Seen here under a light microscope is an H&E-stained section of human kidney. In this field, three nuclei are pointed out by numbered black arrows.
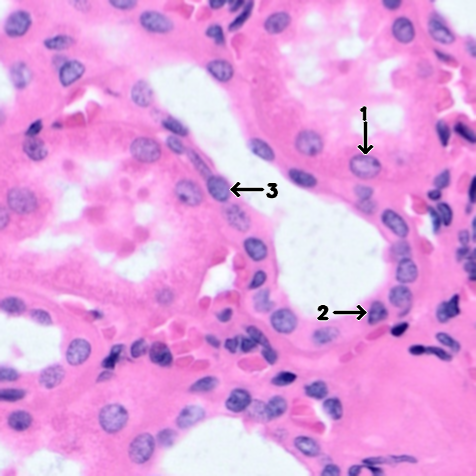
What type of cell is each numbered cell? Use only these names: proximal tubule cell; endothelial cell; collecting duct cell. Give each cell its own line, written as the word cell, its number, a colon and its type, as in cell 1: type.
cell 1: proximal tubule cell
cell 2: collecting duct cell
cell 3: collecting duct cell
